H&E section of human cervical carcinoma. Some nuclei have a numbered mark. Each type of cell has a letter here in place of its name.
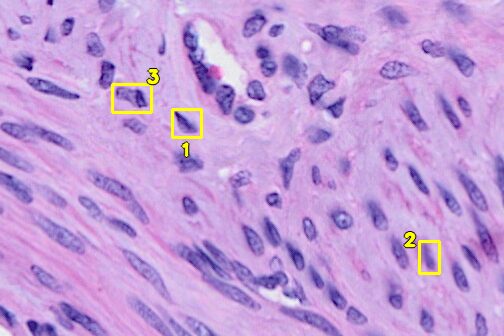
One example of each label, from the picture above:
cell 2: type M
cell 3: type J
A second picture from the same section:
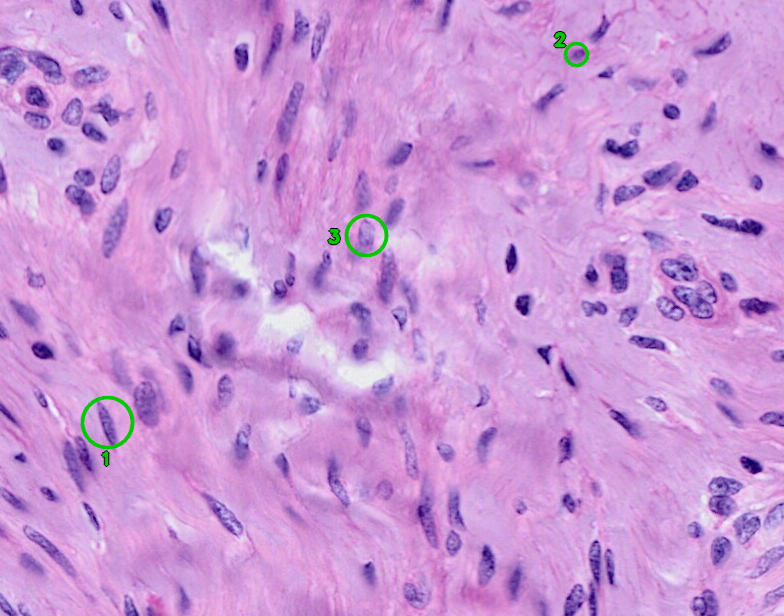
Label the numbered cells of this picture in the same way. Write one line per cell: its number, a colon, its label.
1: type J
2: type M
3: type M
